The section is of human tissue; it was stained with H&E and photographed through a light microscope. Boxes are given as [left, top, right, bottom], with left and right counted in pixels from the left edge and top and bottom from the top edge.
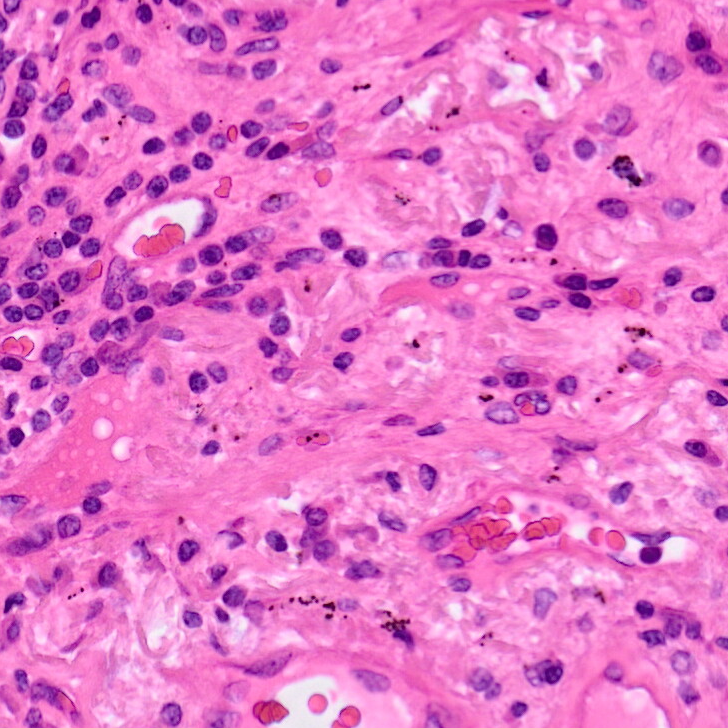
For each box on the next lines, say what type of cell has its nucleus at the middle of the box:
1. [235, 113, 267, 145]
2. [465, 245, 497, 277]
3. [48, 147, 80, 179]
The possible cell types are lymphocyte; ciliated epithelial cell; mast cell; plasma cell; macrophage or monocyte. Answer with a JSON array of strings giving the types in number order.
["lymphocyte", "lymphocyte", "plasma cell"]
